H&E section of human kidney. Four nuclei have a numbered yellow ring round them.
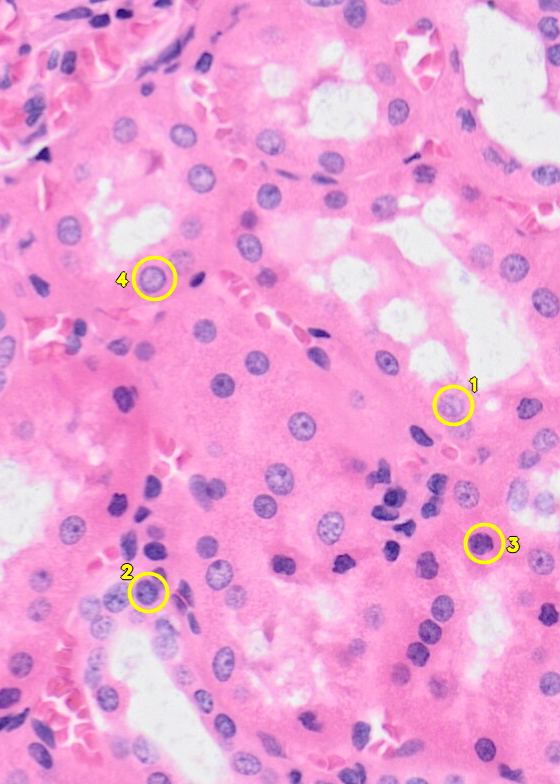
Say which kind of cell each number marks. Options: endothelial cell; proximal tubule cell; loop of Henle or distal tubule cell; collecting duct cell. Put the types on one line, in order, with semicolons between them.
proximal tubule cell; collecting duct cell; proximal tubule cell; proximal tubule cell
